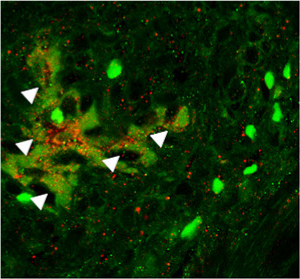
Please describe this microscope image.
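Numerous bright green oval and elongated cells are scattered across the field, singly and in small groups, against a fainter green background outlining tissue. Elsewhere red dots are sparse and scattered among the green cells.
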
